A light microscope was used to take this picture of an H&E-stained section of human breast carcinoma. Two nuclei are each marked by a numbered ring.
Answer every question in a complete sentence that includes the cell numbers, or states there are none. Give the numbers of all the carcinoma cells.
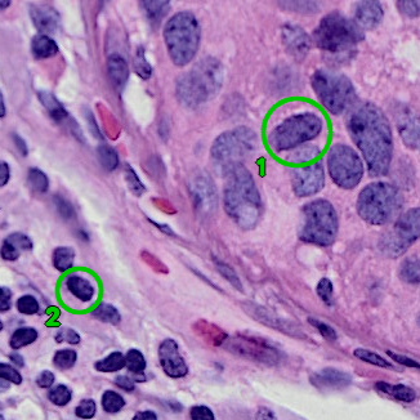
Just the cell marked 1 is a carcinoma cell; none of the other marked cells is.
